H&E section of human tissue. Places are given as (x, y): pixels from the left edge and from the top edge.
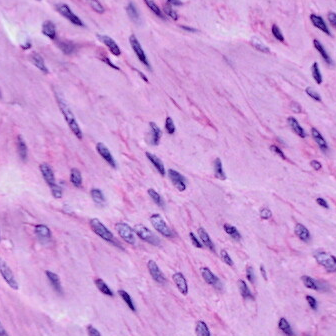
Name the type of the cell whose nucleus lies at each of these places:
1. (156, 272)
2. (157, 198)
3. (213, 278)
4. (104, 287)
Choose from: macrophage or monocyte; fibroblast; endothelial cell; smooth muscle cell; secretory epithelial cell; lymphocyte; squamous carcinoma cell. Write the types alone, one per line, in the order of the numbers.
smooth muscle cell
smooth muscle cell
smooth muscle cell
fibroblast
